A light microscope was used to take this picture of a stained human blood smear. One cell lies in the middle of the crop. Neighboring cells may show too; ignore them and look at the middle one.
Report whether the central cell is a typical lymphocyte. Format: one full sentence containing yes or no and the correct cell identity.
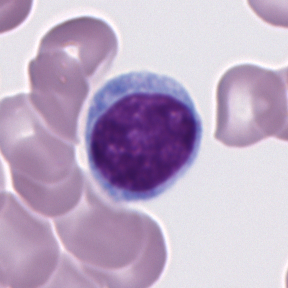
Yes, the cell in the middle of the view is a typical lymphocyte.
